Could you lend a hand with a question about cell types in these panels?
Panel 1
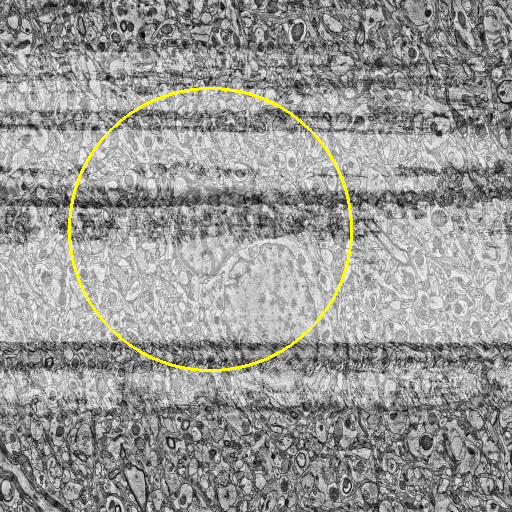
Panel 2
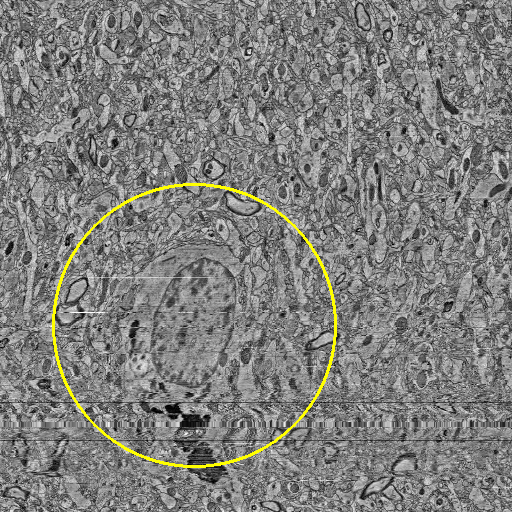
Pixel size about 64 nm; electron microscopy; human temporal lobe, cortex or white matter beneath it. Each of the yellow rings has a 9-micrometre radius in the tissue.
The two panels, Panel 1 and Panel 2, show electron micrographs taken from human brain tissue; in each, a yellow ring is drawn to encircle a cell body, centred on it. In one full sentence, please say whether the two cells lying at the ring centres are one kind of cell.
No, the cells at the ring centres in the two panels are two kinds of cell.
